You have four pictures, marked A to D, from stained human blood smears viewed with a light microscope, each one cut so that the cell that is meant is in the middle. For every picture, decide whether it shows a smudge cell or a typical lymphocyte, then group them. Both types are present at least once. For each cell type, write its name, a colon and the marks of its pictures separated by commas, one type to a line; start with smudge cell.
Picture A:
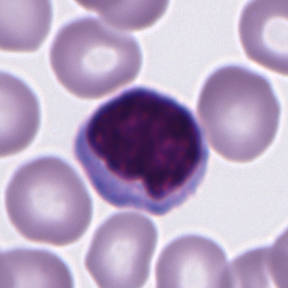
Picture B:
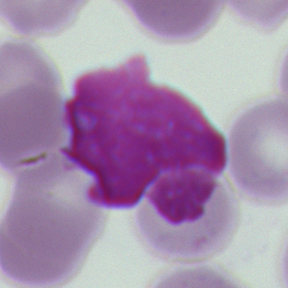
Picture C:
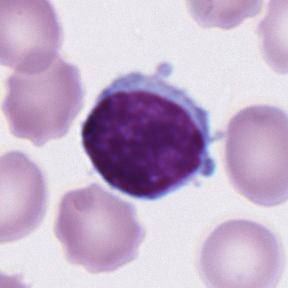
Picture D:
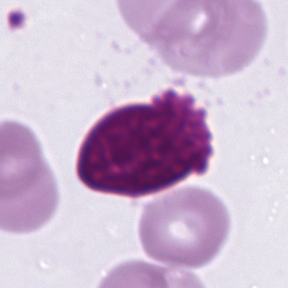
smudge cell: B, D
typical lymphocyte: A, C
